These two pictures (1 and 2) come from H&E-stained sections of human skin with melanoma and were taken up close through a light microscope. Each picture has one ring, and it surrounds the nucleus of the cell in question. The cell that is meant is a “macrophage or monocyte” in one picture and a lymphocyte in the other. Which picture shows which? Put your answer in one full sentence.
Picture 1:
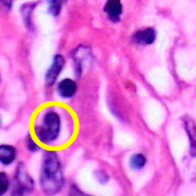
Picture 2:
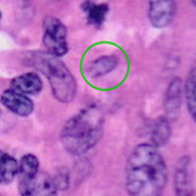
In picture 1 the cell is a lymphocyte; in picture 2, a “macrophage or monocyte”.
